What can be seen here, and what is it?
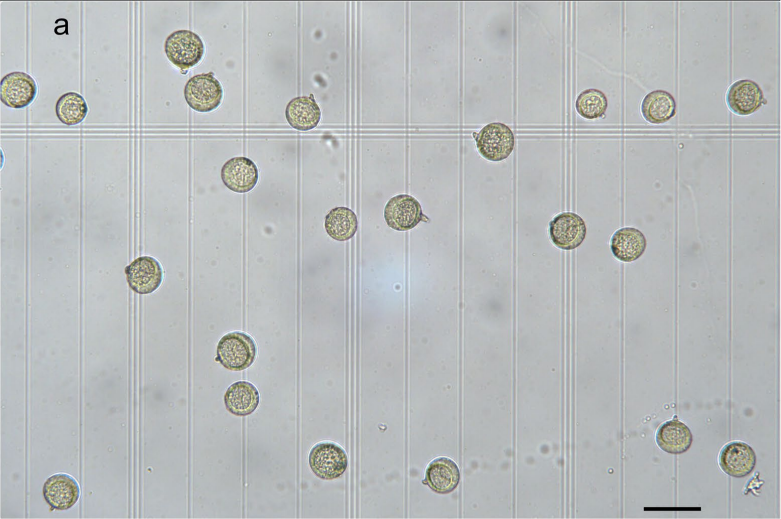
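Intact pollen grains scattered singly over a counting grid. Each is round and of similar size, with a thick outer wall whose surface looks granular and textured, yellowish-brown in tone. Several carry a small pointed protrusion at one side. No clear envelopes and no empty crumpled shells are present; all grains appear whole and closed. Background shows grid lines and small out-of-focus debris.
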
